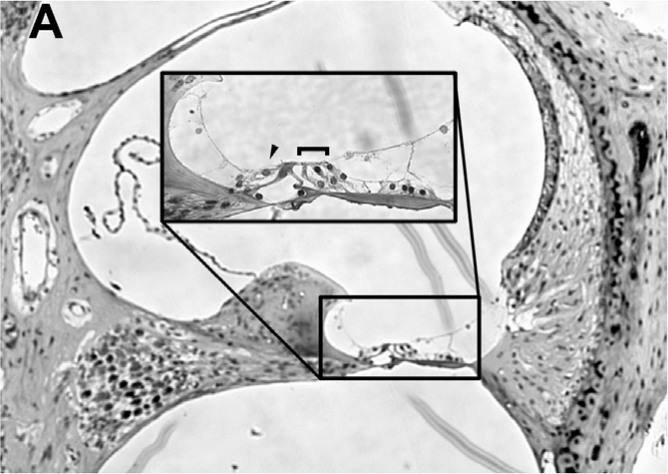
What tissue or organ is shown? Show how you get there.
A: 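Cochlear turn. A thick band of tissue with a dark-stained surface layer forms the outer wall on the right. A cluster of densely packed round nuclei lies in bone at the lower left.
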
